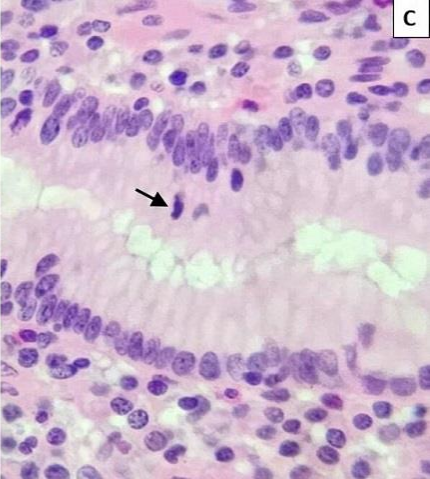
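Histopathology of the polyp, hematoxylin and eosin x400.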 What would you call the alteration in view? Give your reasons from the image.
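The epithelial nuclei are crowded and sit at slightly different heights in the cell row. Tall columnar cells have pale apical cytoplasm above the nuclei.
Hence: discrete pseudostratification.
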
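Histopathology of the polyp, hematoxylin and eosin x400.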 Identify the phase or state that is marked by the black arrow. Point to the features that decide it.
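Mitoses. The arrowed nucleus is small, very dark and condensed, unlike the neighbouring oval nuclei with open chromatin.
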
